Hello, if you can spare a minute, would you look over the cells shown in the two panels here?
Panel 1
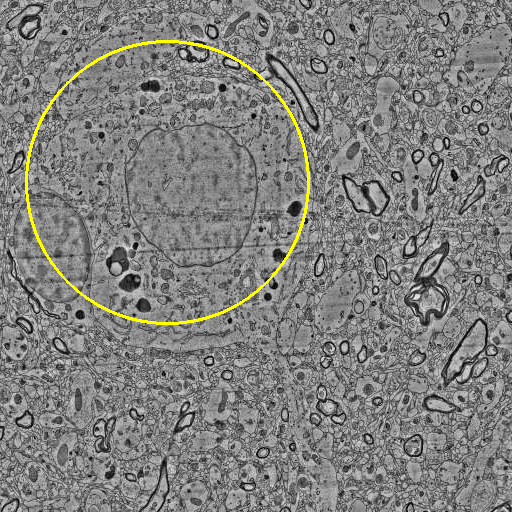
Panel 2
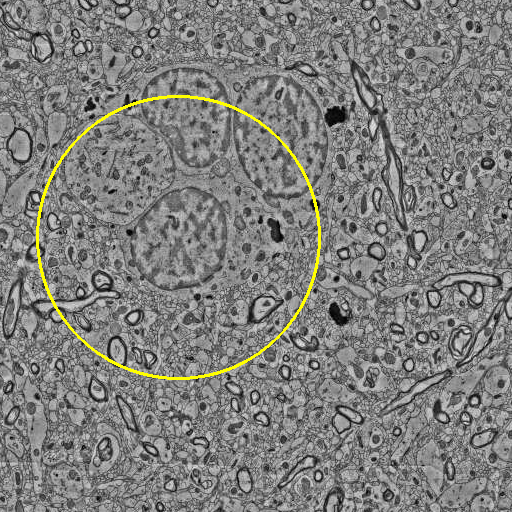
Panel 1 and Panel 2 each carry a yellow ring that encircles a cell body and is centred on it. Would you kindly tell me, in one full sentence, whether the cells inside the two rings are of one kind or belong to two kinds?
The cells at the centres of the rings in Panel 1 and Panel 2 belong to two kinds.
